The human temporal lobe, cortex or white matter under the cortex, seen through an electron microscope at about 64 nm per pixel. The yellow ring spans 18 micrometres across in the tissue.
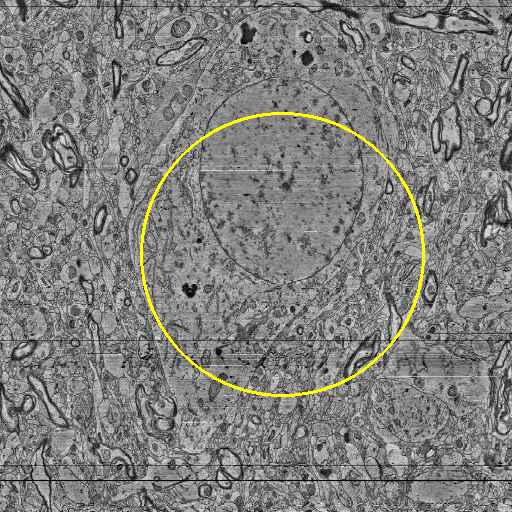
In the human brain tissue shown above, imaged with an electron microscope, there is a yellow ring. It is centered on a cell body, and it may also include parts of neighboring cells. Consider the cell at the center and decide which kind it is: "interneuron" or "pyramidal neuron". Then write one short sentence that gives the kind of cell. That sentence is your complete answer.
This centered cell body is that of a pyramidal neuron.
